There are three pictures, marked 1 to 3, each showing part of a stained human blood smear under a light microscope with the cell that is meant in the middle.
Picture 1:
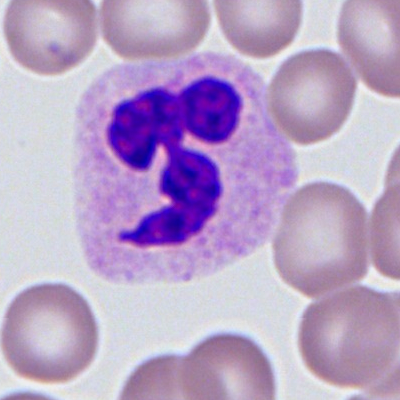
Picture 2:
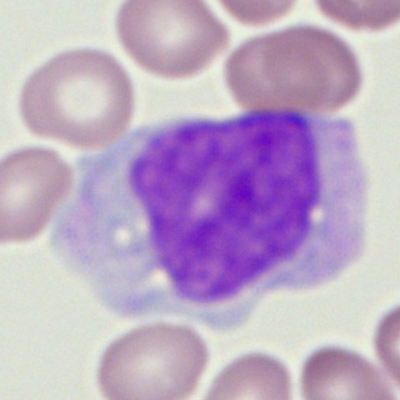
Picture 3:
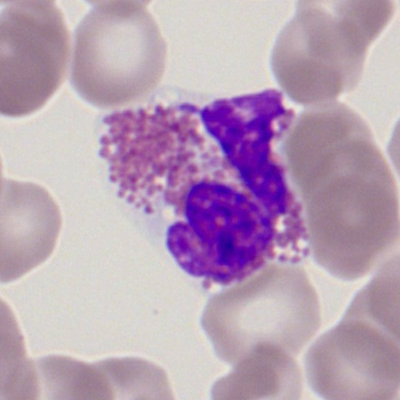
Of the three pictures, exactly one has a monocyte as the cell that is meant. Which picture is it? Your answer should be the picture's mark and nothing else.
2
